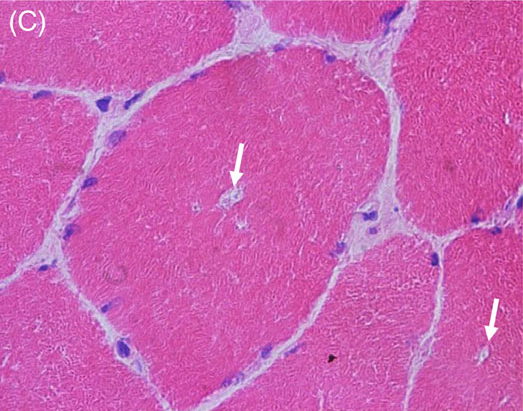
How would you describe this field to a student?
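Transversely cut skeletal muscle fibers stained with hematoxylin and eosin: polygonal pink fibers of varying size separated by pale connective tissue. Small, dark purple nuclei lie at the fiber edges and in the spaces between fibers. The large central fiber contains a small irregular clear space with a faint bluish-grey granular rim, and a similar small clear space lies within a fiber at the lower right. The fiber cytoplasm elsewhere has a finely mottled texture.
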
